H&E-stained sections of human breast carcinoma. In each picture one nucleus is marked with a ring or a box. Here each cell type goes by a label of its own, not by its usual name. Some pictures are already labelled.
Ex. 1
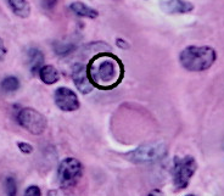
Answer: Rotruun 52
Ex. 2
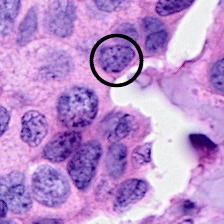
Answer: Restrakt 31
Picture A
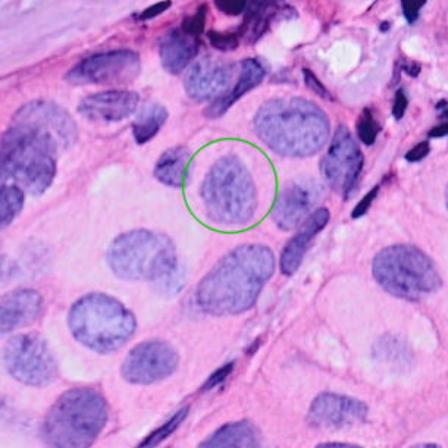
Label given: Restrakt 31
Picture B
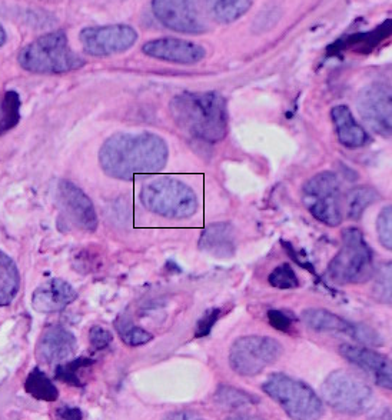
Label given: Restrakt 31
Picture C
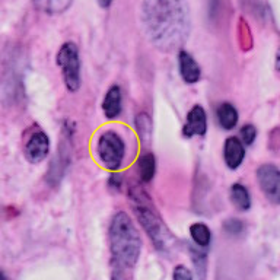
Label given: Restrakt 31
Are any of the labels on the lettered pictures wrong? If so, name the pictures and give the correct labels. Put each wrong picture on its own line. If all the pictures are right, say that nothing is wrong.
C: change Restrakt 31 to Rotruun 52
